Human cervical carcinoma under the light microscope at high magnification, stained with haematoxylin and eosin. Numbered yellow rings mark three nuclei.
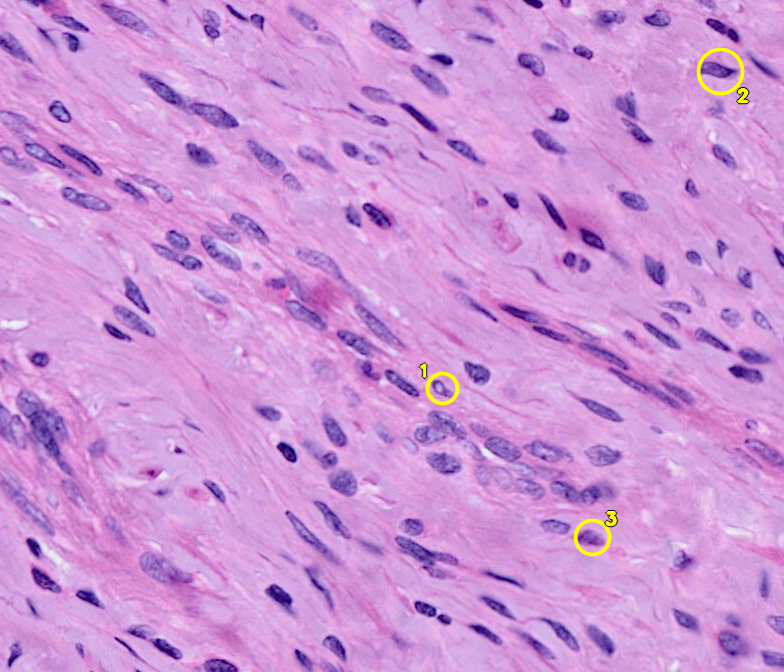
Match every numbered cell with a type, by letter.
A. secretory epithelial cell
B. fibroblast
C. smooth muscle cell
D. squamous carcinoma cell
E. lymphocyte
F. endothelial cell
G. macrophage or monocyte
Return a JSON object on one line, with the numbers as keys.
{"1": "C", "2": "B", "3": "C"}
